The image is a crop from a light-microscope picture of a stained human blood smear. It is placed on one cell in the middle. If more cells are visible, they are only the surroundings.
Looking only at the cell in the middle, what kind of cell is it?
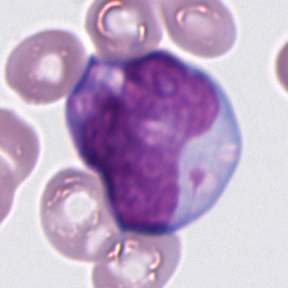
atypical promyelocyte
